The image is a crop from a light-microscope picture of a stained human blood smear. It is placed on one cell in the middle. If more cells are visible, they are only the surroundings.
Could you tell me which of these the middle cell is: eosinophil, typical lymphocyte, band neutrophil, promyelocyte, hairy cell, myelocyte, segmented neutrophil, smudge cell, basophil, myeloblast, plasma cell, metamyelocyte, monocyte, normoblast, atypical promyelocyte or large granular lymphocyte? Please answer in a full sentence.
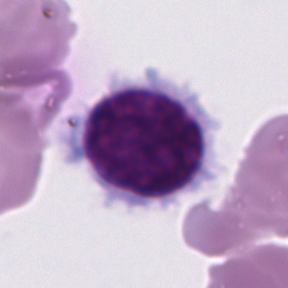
Looking at the middle of the crop, the cell there is a hairy cell.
